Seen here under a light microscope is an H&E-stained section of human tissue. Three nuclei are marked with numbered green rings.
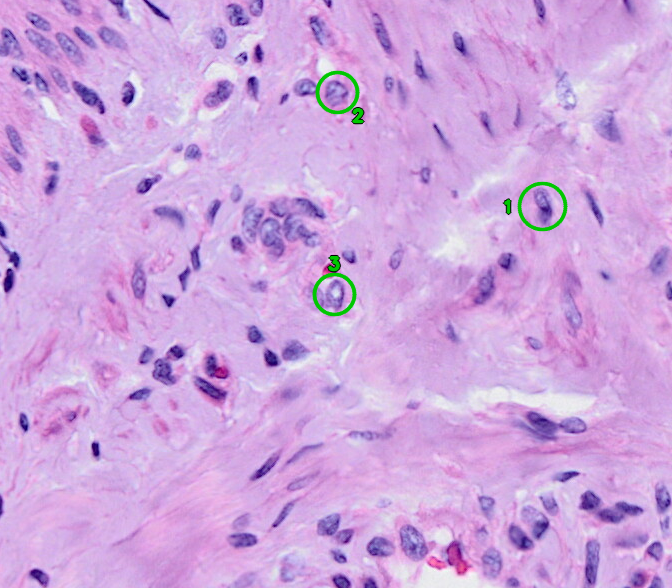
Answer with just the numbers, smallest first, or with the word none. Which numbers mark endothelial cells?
2, 3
